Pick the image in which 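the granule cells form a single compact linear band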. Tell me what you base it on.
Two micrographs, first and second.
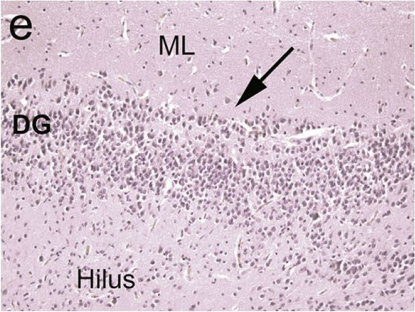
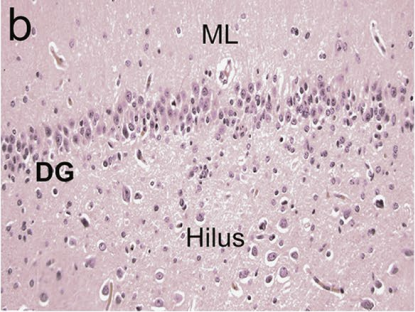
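First image: the granule cell band is broad, loose and split into layers. Second image: the granule cells form one narrow, tightly packed band. So: the second image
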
